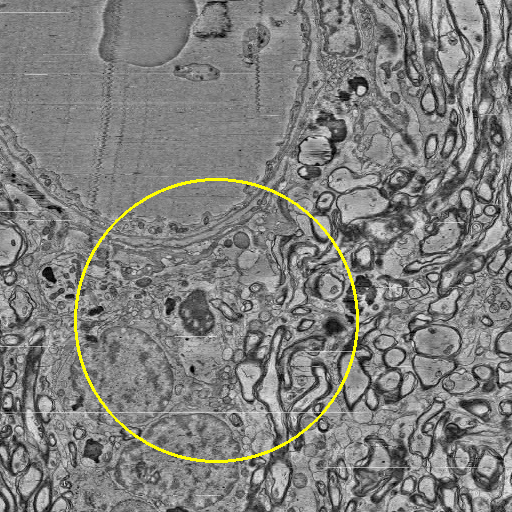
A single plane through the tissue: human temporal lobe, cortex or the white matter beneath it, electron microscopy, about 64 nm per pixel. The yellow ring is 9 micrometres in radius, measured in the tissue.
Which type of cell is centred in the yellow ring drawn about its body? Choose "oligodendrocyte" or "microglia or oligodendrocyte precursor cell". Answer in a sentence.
The yellow ring surrounds the cell body of a microglial cell or oligodendrocyte precursor cell.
